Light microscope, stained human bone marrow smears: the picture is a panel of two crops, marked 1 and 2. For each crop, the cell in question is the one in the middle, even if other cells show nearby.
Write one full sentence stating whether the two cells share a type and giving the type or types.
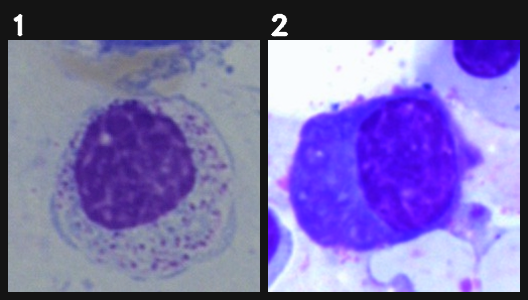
No, while a myelocyte is found in crop 1, a plasma cell is found in crop 2.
